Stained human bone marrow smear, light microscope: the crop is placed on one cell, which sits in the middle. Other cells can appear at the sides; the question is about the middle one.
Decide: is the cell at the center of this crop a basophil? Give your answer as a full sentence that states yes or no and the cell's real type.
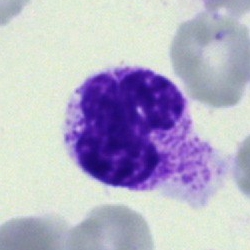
No, the cell sitting in the centre of the crop is a segmented neutrophil, not a basophil.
